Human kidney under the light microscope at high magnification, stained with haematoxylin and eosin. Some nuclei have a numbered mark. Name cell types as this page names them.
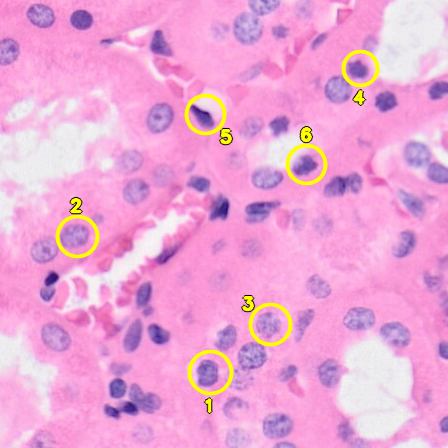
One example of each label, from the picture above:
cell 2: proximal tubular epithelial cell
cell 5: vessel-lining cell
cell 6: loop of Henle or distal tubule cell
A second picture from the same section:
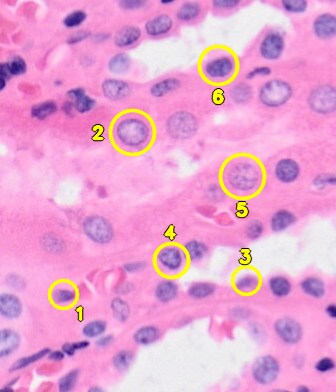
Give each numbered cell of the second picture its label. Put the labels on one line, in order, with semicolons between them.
vessel-lining cell; proximal tubular epithelial cell; loop of Henle or distal tubule cell; loop of Henle or distal tubule cell; proximal tubular epithelial cell; loop of Henle or distal tubule cell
